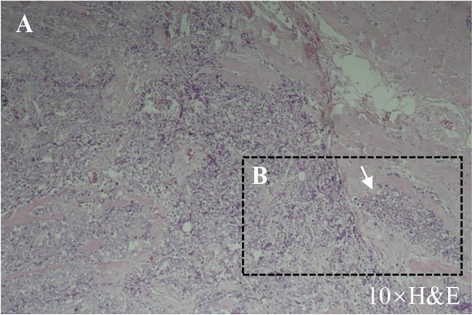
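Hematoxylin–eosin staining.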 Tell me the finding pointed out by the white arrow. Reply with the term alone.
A: Muscle infiltration.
